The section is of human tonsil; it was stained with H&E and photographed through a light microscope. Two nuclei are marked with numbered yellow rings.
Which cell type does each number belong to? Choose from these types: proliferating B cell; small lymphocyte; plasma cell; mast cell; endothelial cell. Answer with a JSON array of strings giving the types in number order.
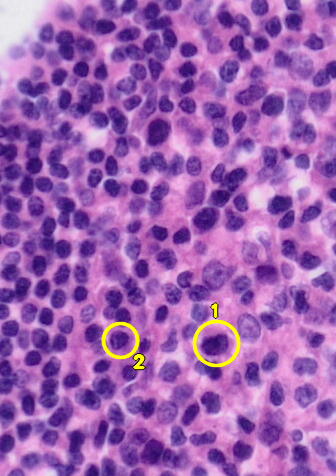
["proliferating B cell", "plasma cell"]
